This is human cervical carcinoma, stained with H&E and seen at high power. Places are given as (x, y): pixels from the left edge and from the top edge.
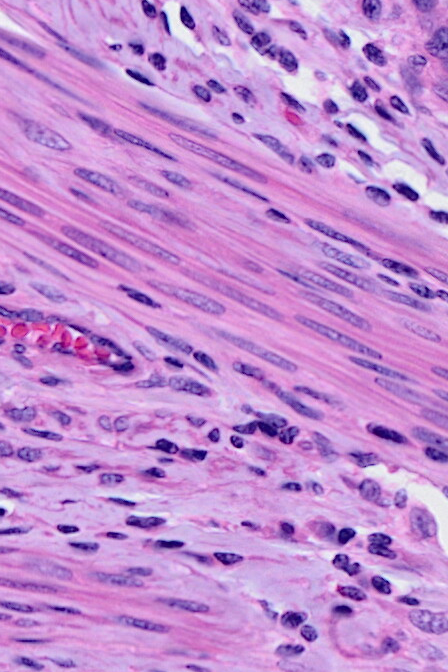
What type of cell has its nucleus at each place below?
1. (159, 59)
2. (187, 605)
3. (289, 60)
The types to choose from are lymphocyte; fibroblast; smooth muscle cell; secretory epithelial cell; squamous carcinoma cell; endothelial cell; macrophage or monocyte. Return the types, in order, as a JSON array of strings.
["lymphocyte", "smooth muscle cell", "lymphocyte"]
